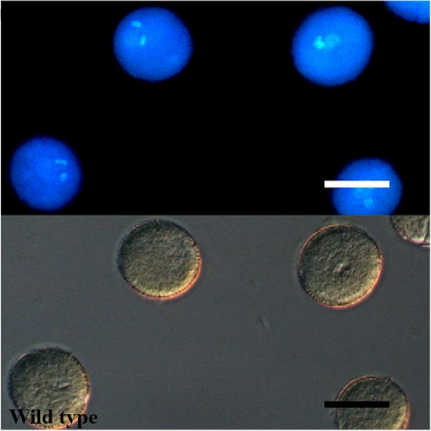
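In transmitted light the grains are spherical and of similar size, with a finely granular surface and a thin reddish-brown rim at the wall. The grains lie apart from each other on a clear background, with no debris between them.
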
